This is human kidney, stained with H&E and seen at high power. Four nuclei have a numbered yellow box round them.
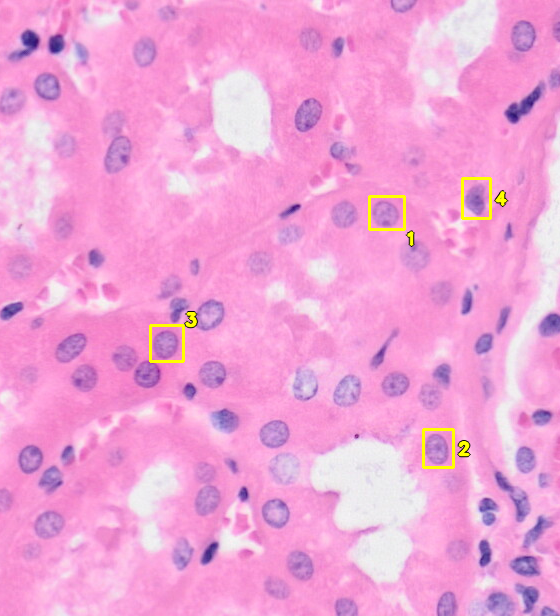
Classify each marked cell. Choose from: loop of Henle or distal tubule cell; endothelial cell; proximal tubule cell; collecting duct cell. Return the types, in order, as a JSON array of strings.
["proximal tubule cell", "proximal tubule cell", "proximal tubule cell", "endothelial cell"]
